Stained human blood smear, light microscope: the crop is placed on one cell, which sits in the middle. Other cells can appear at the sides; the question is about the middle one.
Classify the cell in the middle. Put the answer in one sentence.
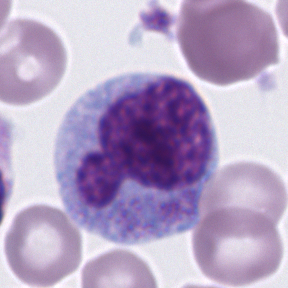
The middle position in this crop is taken by a monocyte.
